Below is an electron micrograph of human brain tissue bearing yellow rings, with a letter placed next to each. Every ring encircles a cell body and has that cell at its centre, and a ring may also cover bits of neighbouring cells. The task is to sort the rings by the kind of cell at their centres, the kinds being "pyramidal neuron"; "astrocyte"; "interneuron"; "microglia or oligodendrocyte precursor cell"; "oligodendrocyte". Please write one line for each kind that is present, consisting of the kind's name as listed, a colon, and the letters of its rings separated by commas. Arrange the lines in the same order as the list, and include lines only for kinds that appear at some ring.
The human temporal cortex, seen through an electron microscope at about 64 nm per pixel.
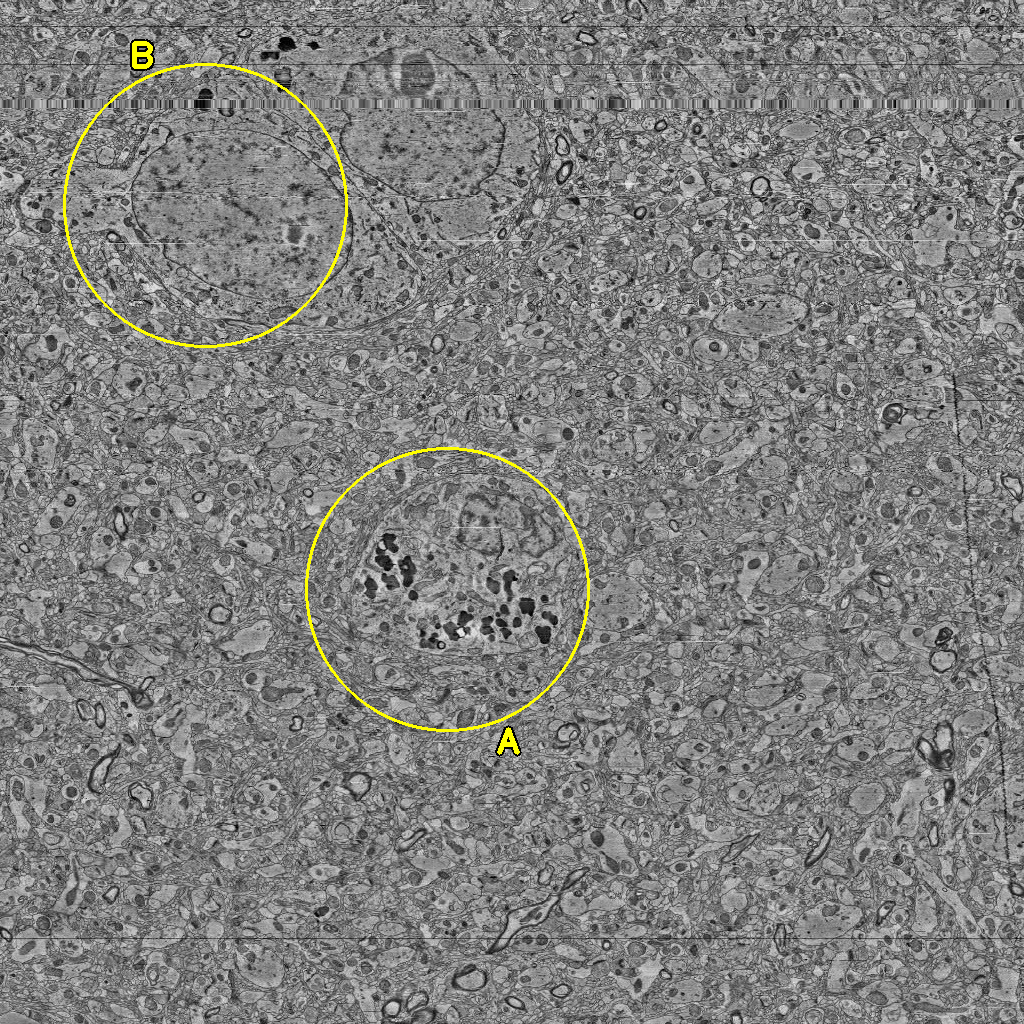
pyramidal neuron: B
interneuron: A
